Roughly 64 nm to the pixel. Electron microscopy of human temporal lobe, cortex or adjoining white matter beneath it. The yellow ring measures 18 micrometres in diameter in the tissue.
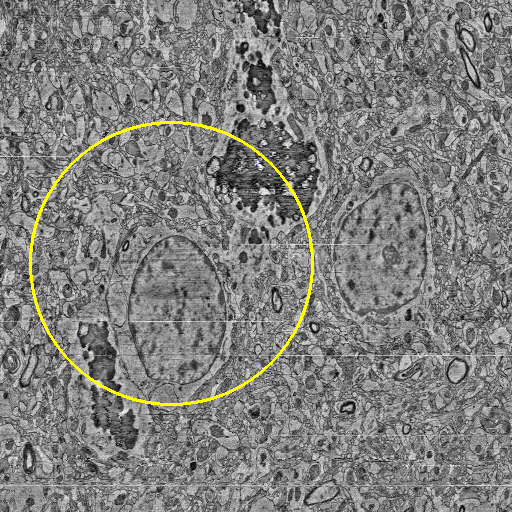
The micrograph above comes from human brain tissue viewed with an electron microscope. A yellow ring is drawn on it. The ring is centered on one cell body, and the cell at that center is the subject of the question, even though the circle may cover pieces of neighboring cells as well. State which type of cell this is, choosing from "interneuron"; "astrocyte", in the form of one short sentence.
The cell the ring is centered on is an astrocyte.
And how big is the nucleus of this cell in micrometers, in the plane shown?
In this plane, approximately 10 by 6 micrometers, and clearly longer than it is wide.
